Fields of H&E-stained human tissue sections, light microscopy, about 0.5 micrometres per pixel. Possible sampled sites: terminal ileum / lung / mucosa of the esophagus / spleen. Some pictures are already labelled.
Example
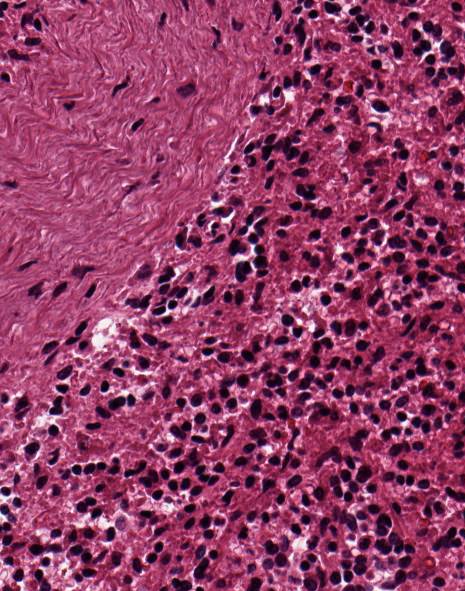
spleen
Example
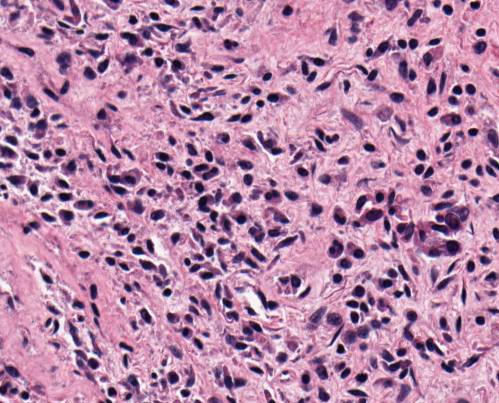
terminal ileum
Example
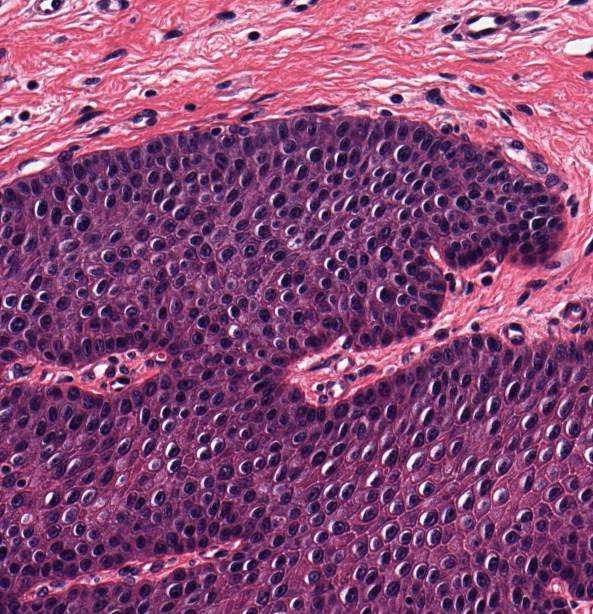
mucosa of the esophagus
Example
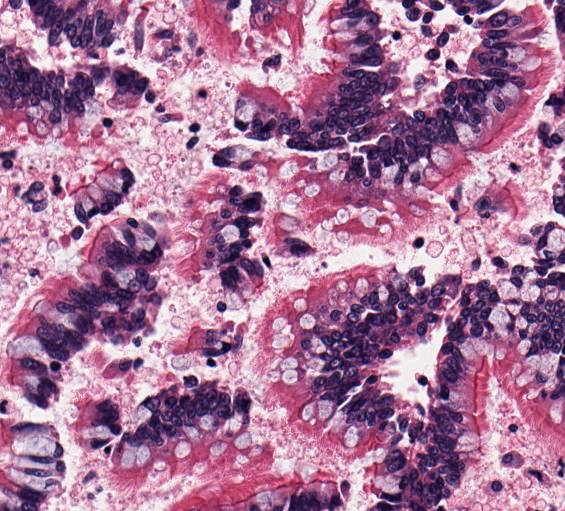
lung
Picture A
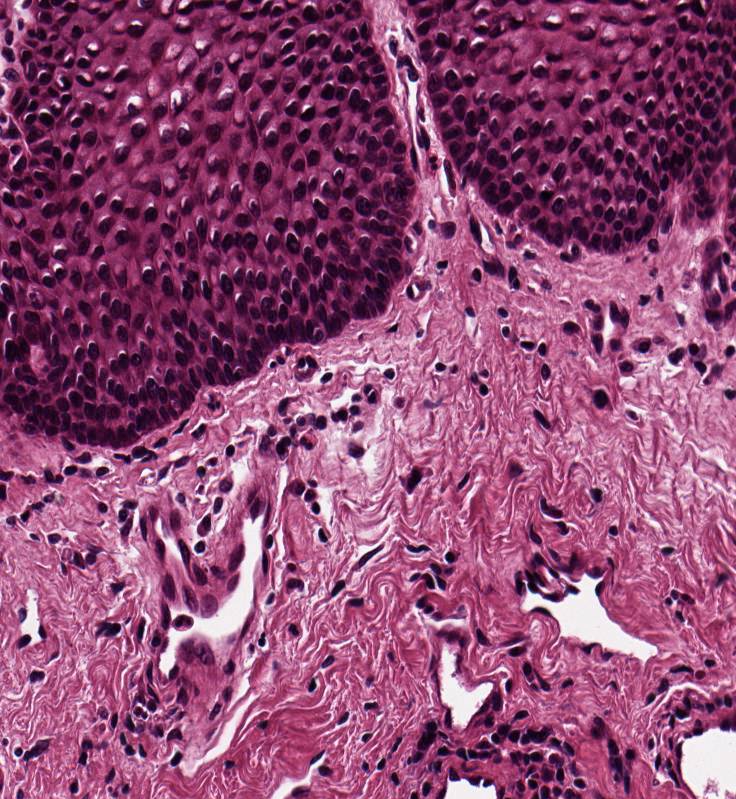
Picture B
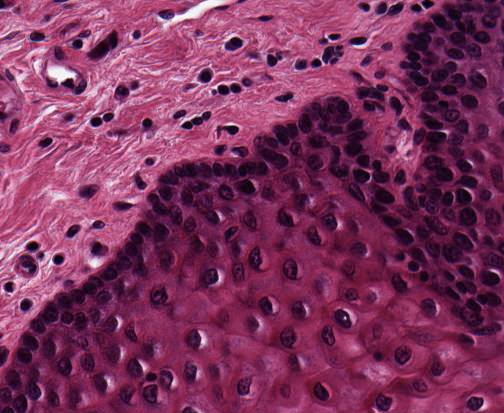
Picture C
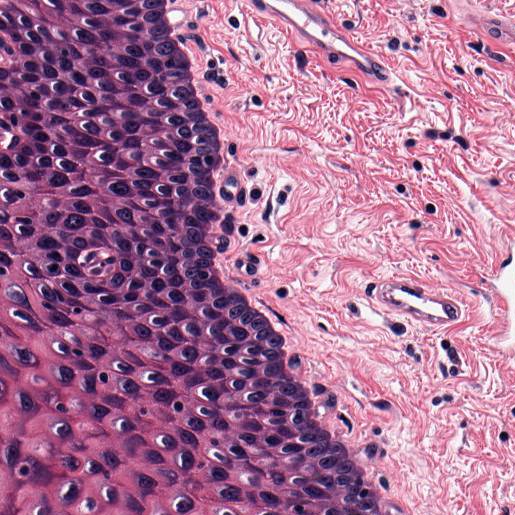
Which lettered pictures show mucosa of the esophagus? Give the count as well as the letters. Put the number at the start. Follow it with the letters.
3, namely A, B, C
